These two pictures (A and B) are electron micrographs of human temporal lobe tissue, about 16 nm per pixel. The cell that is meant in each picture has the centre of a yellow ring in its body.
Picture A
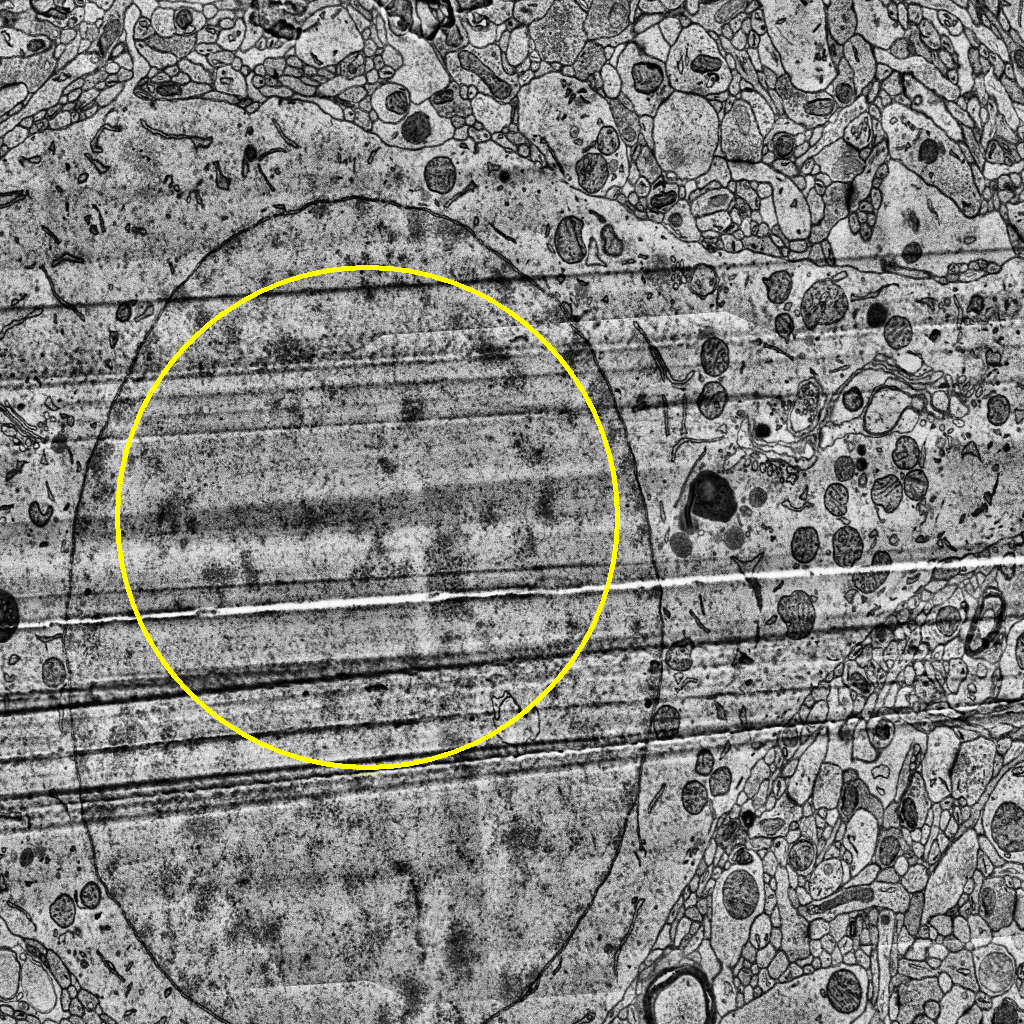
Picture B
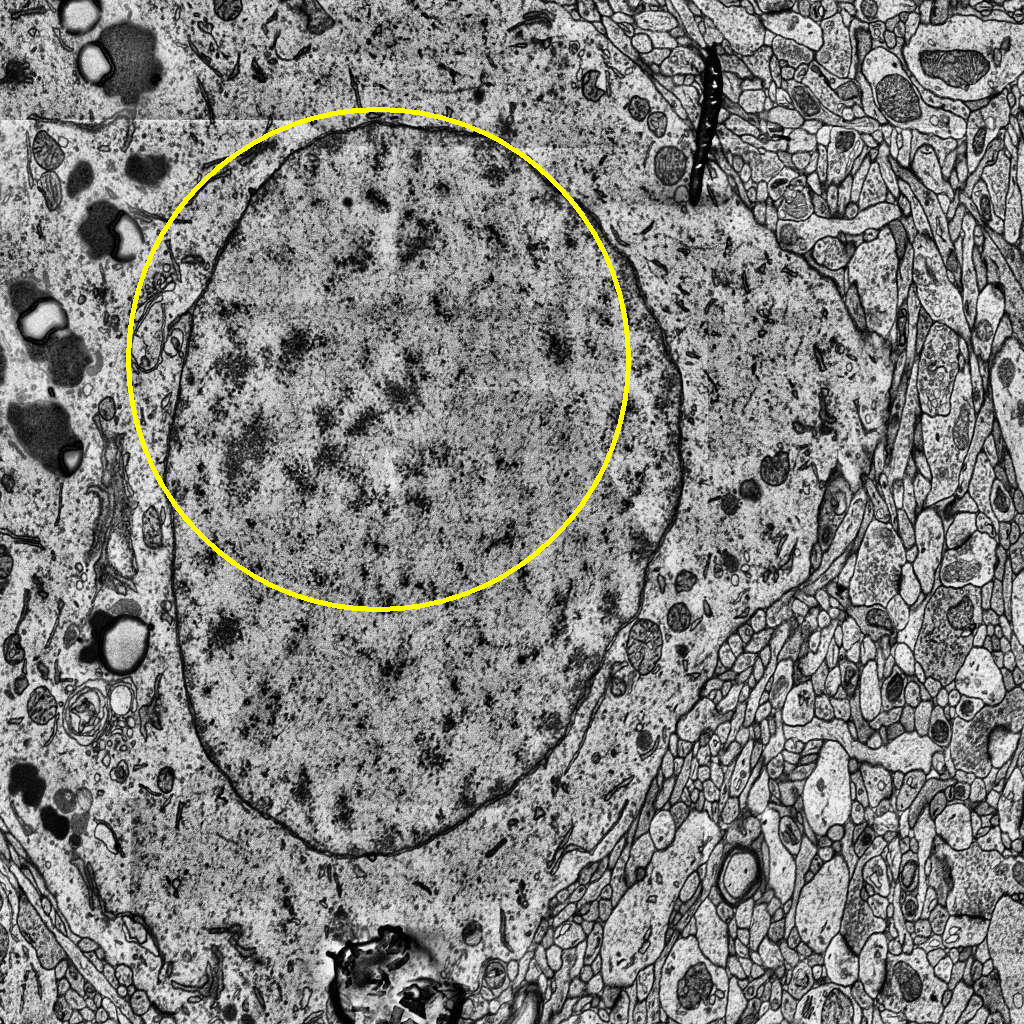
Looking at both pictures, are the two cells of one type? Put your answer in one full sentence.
Yes, they are the same type: both are pyramidal neurons.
